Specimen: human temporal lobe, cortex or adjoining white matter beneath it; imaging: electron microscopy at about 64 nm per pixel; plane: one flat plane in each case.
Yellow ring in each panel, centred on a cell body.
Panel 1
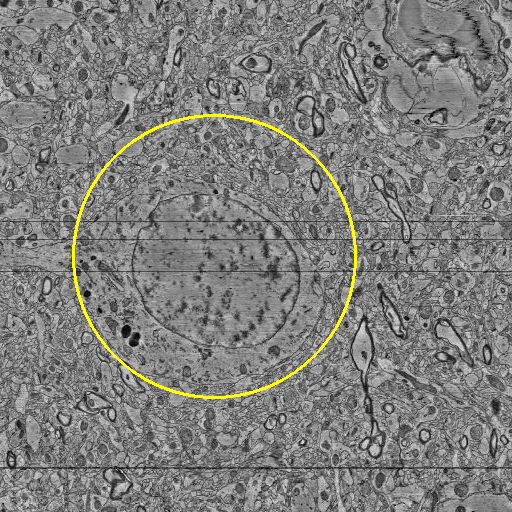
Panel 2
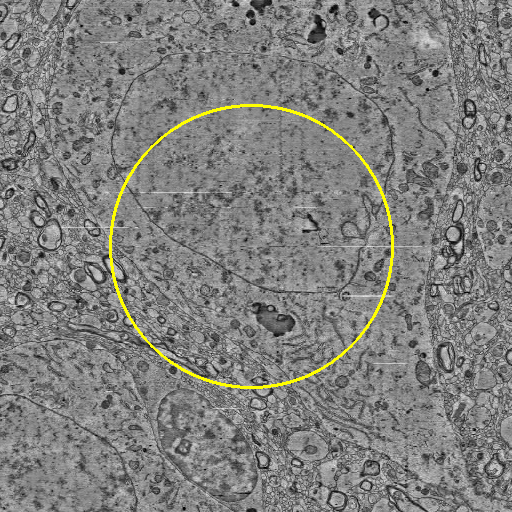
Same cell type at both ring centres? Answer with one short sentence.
Yes, both cells are of the same type.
